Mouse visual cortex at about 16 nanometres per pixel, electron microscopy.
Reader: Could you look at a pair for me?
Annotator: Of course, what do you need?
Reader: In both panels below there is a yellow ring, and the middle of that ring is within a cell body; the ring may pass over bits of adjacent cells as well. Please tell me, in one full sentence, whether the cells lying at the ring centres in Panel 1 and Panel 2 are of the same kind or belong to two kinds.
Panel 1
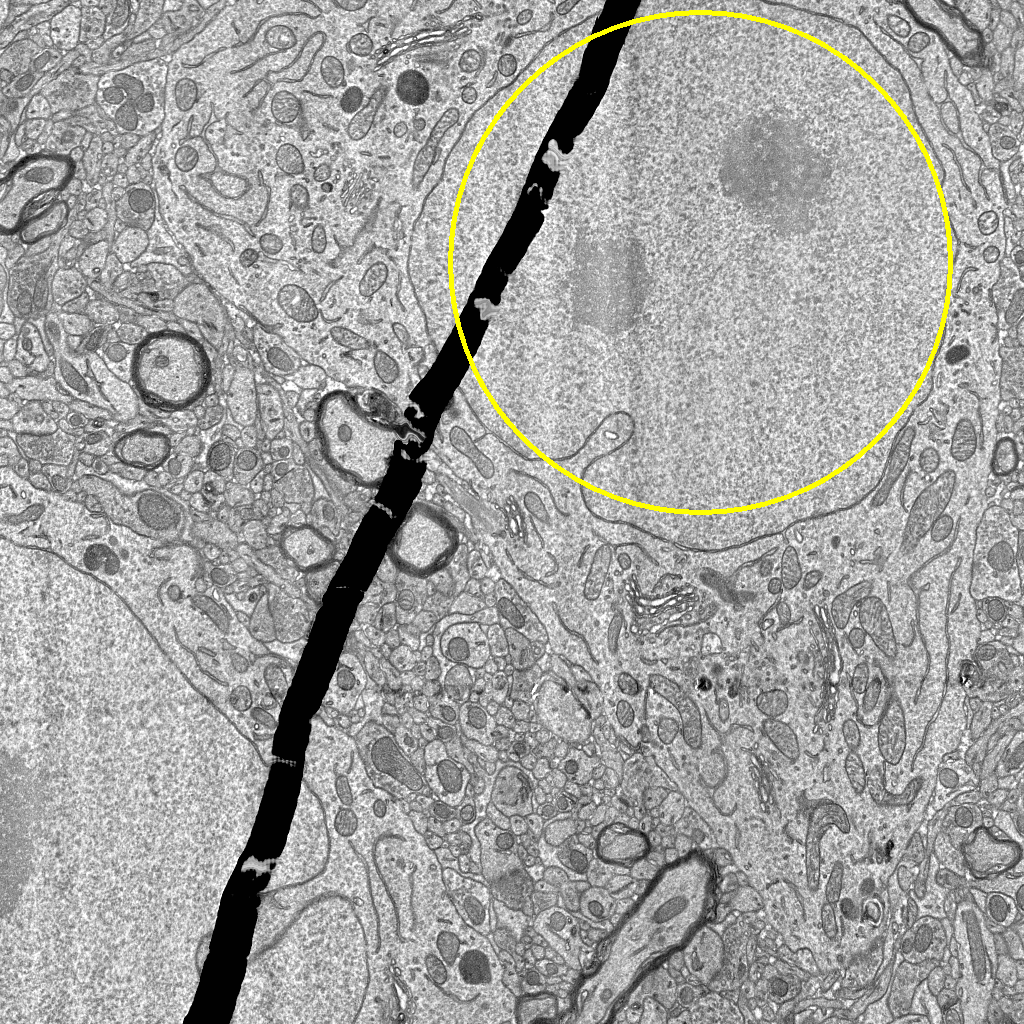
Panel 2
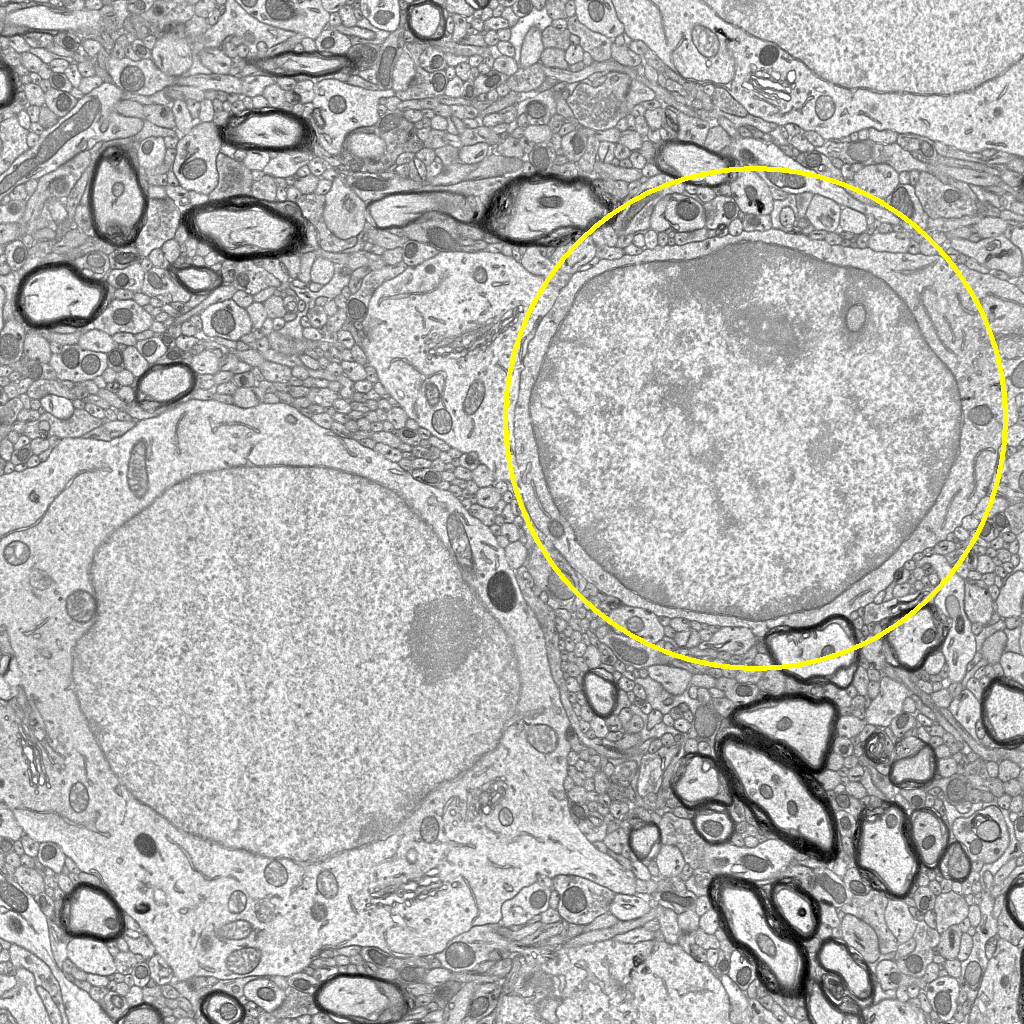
The cell at the ring's centre in Panel 1 and the one in Panel 2 belong to two kinds.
